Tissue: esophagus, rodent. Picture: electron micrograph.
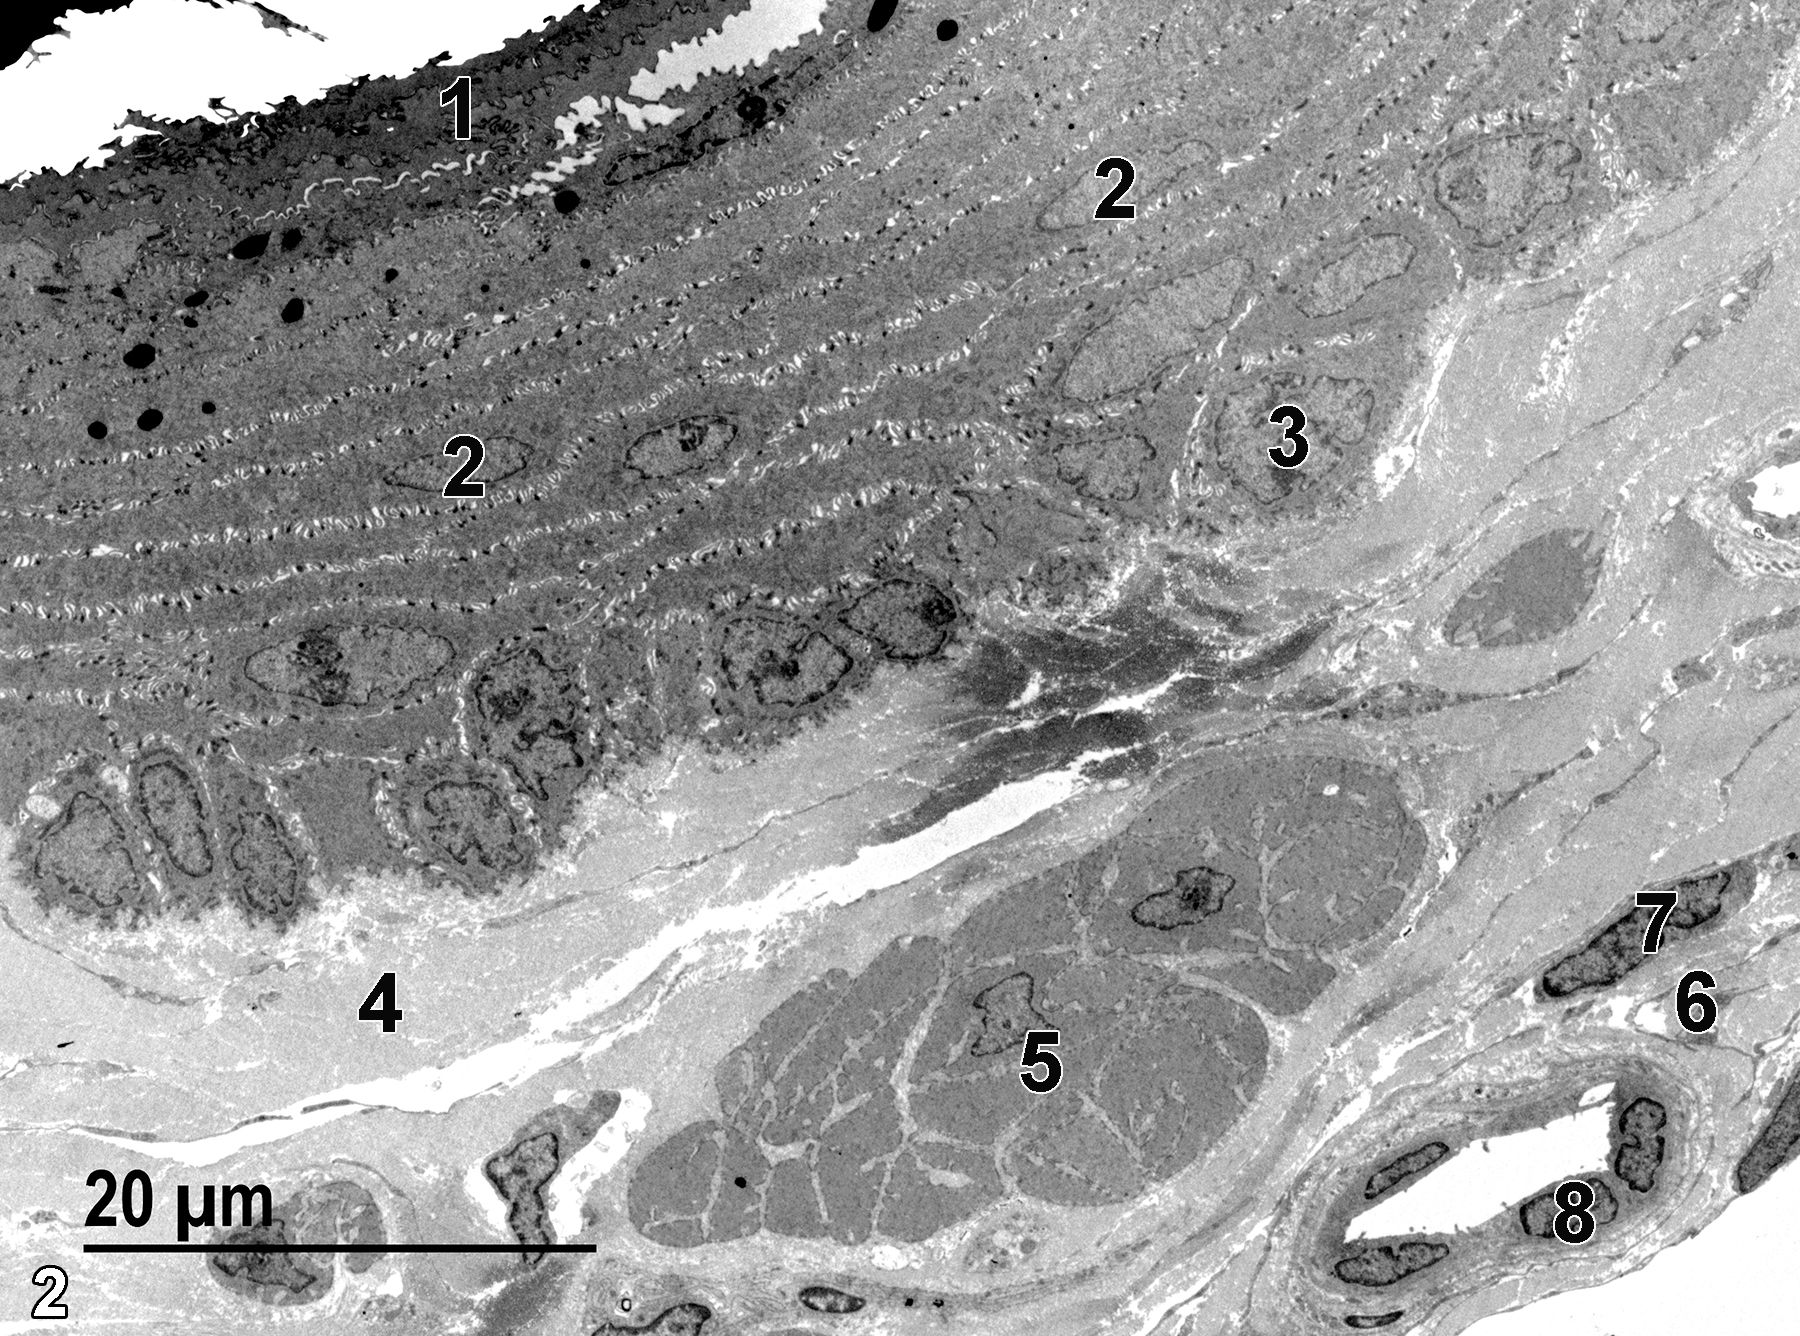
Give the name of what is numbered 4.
Collagen bundles of the lamina propria.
